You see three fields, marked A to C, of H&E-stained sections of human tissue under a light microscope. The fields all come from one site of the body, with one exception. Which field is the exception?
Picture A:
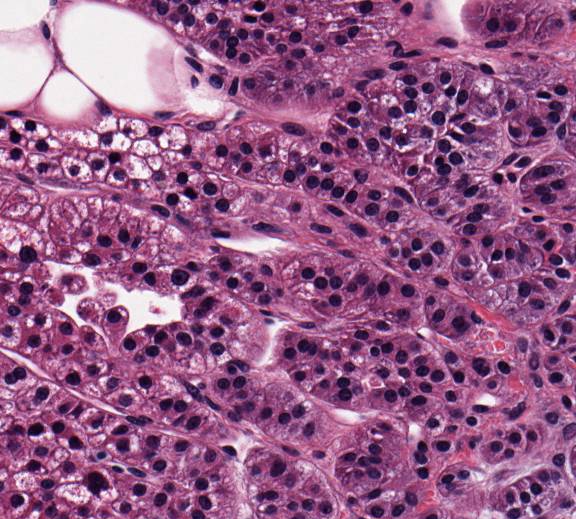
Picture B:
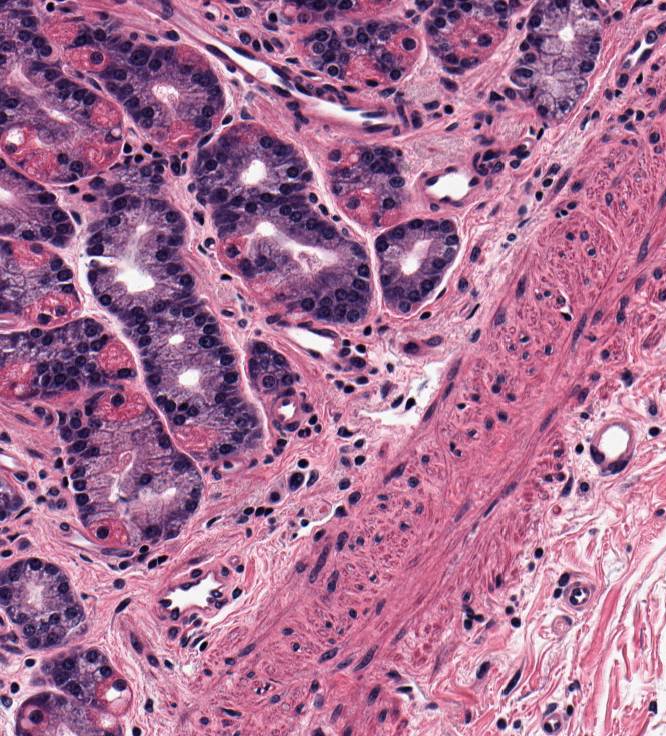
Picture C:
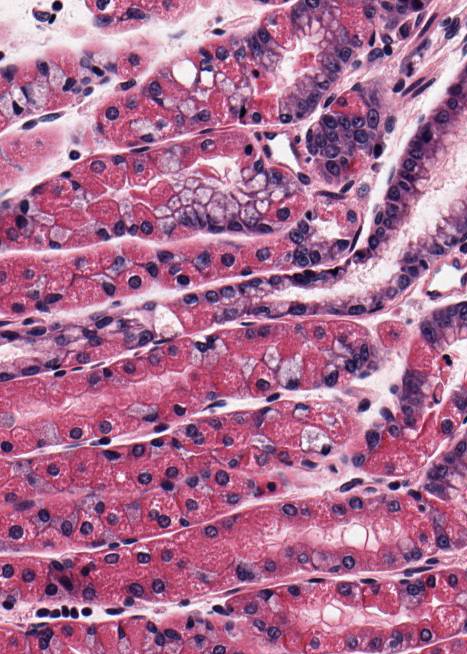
A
